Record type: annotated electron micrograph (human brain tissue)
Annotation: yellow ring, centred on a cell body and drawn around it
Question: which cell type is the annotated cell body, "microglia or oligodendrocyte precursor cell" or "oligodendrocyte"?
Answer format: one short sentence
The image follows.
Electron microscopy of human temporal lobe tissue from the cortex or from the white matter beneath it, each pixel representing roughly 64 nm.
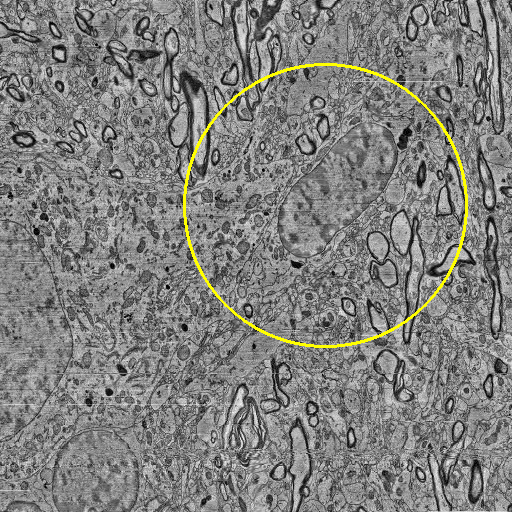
The annotated cell body is that of a microglial cell or oligodendrocyte precursor cell.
